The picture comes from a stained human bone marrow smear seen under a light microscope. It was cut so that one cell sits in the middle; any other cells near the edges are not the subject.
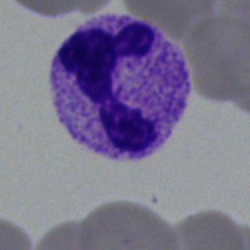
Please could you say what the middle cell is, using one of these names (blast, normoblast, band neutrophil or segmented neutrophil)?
segmented neutrophil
